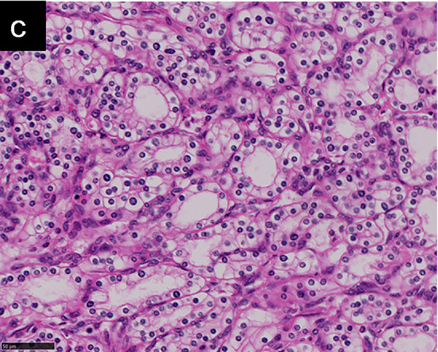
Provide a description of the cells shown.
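These are tumour epithelial cells with clear cytoplasm, arranged around many small rounded spaces that form a microcystic pattern. Each cell has a small, round, dark purple nucleus with little variation in size, usually set in the middle or toward the base of the cell. The cytoplasm is almost empty-looking and pale, with only fine pink cell borders. Thin delicate pink strands of stroma run between neighbouring small glands, and no obvious mitotic figures or marked nuclear atypia stand out.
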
